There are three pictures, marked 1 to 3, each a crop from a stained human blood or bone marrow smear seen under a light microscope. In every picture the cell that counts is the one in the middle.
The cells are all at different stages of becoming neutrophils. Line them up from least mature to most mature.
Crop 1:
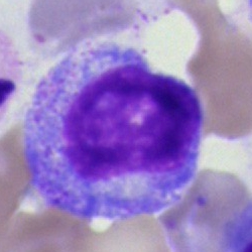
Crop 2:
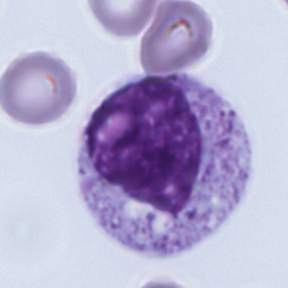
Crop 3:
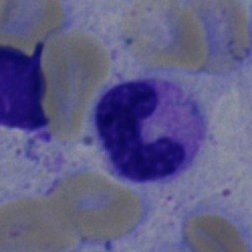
1, 2, 3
